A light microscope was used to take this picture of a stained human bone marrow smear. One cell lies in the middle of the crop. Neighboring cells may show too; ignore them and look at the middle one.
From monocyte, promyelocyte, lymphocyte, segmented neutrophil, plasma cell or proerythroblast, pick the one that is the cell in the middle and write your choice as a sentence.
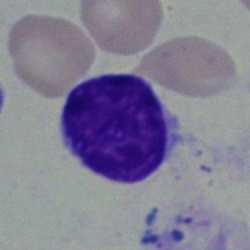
This crop has a lymphocyte at its centre.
